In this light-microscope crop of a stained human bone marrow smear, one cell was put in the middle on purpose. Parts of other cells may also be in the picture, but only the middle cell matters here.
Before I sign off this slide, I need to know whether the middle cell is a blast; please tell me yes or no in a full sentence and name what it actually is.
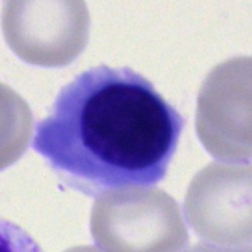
No, a blast is not what the central cell is; it is a normoblast.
